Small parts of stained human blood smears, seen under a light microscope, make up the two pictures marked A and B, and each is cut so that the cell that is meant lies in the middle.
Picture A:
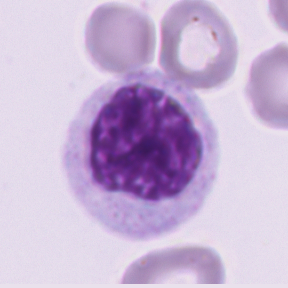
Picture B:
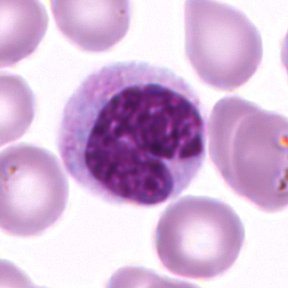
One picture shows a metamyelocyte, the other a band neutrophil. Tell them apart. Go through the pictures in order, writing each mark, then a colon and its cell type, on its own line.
A: metamyelocyte
B: band neutrophil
